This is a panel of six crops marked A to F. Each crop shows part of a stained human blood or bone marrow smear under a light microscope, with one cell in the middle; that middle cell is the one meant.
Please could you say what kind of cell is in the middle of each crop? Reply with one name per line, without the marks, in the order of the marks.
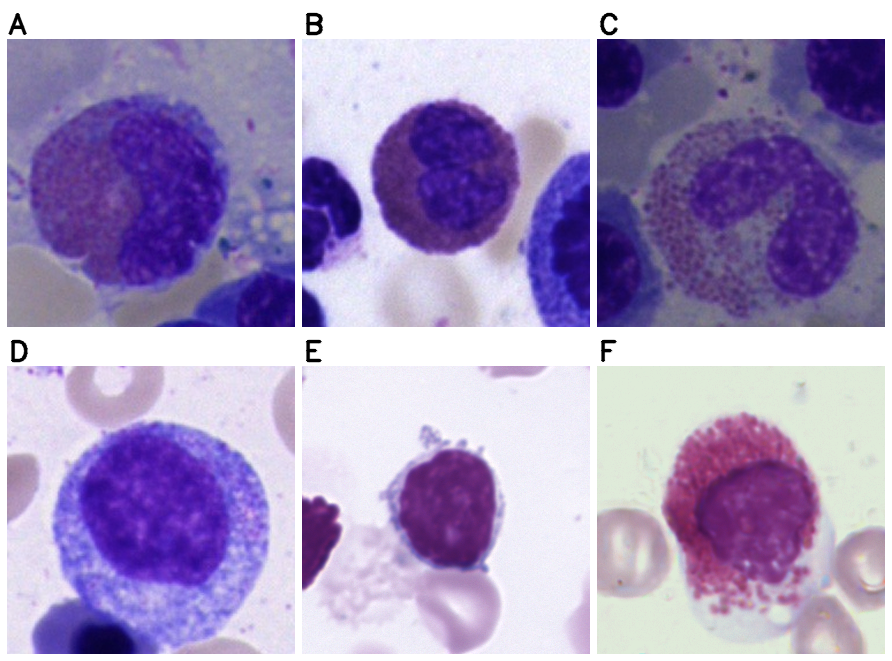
eosinophil
eosinophil
eosinophil
promyelocyte
lymphocyte
eosinophil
